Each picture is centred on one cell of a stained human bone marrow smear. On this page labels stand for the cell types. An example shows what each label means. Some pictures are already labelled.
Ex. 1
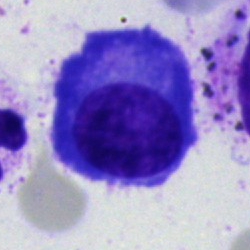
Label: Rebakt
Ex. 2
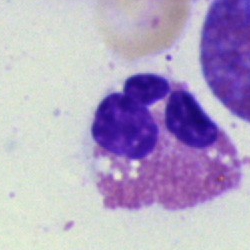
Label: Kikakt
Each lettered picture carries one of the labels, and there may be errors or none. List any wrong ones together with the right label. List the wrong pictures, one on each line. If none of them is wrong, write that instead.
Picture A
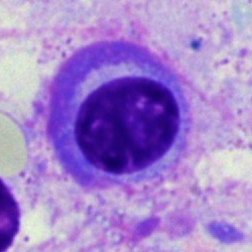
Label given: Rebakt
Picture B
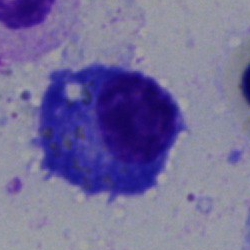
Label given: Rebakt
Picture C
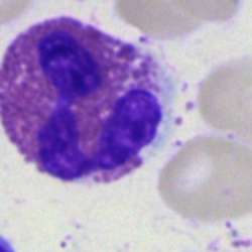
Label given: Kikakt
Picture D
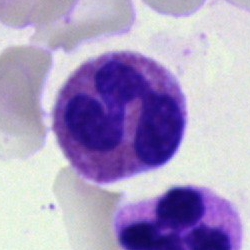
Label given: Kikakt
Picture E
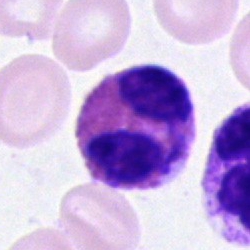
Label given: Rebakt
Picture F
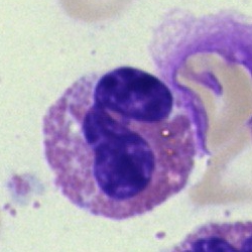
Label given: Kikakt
E: not Rebakt but Kikakt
